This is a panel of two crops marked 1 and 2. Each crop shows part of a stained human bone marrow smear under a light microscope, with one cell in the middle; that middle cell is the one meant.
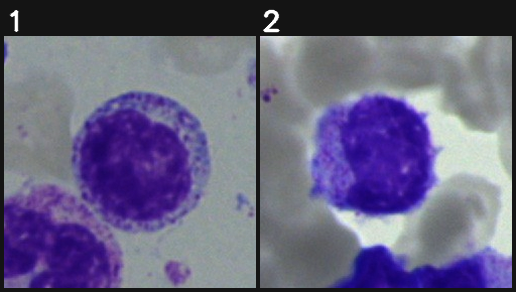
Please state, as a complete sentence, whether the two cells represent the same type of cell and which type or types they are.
Yes, both crops show a cell each, and these are myelocytes.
